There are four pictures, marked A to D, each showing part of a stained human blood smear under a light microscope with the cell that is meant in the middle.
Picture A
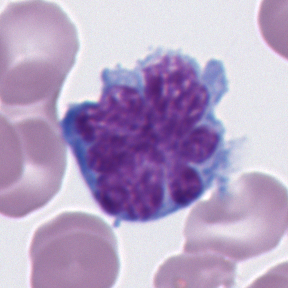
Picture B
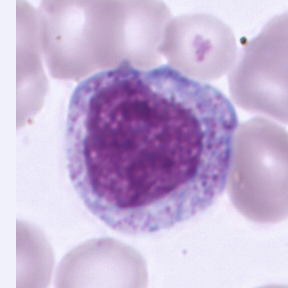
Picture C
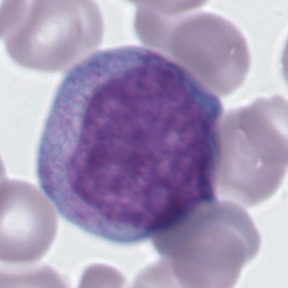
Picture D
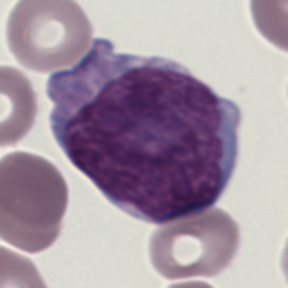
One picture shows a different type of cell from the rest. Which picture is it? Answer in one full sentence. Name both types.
All pictures except A show promyelocytes; picture A shows a monocyte.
